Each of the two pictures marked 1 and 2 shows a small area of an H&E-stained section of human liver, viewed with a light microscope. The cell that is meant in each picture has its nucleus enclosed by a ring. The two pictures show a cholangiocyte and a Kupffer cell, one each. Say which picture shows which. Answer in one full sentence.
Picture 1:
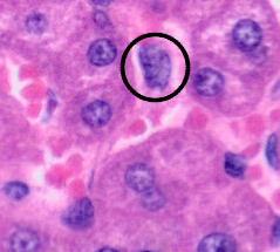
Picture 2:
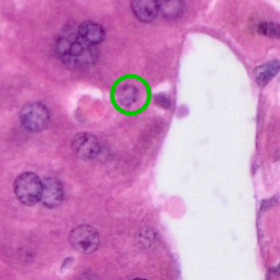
Picture 1 is of a Kupffer cell, and picture 2 is of a cholangiocyte.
